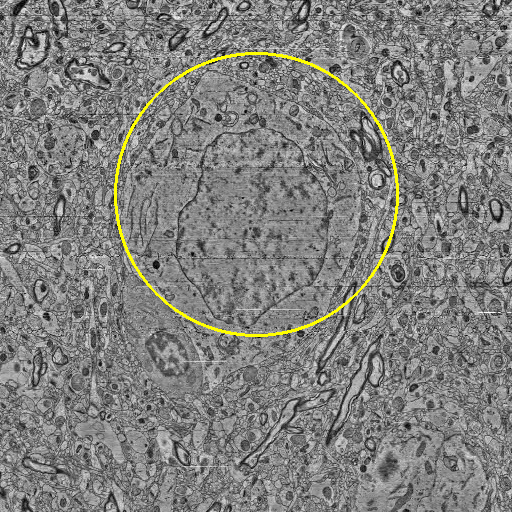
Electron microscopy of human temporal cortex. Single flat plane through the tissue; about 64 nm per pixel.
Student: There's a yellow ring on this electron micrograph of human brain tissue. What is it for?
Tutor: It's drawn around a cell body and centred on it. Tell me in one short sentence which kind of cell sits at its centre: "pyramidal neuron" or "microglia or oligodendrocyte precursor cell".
The cell at the centre of the ring is a pyramidal neuron.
